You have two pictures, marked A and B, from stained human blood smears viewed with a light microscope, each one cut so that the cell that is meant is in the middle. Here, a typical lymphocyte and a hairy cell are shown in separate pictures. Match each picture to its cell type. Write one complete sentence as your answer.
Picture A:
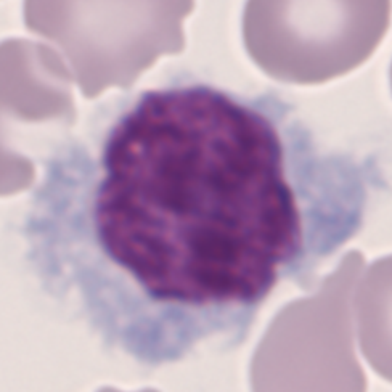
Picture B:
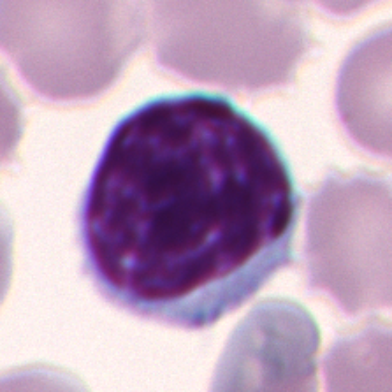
Picture A is of a hairy cell, and picture B is of a typical lymphocyte.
